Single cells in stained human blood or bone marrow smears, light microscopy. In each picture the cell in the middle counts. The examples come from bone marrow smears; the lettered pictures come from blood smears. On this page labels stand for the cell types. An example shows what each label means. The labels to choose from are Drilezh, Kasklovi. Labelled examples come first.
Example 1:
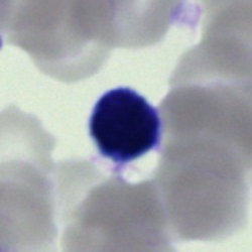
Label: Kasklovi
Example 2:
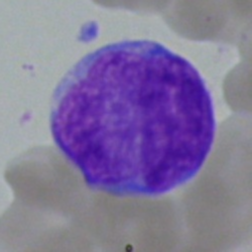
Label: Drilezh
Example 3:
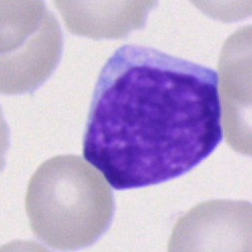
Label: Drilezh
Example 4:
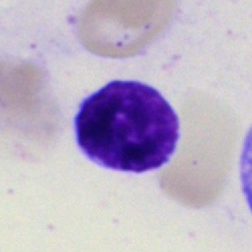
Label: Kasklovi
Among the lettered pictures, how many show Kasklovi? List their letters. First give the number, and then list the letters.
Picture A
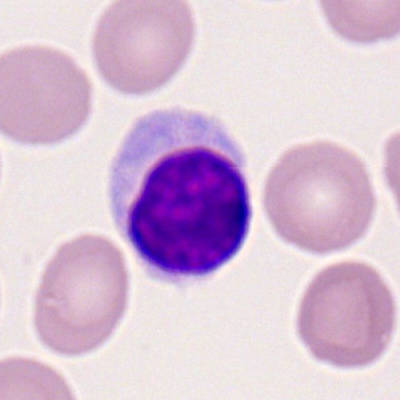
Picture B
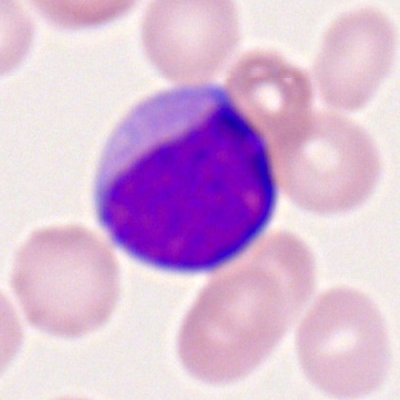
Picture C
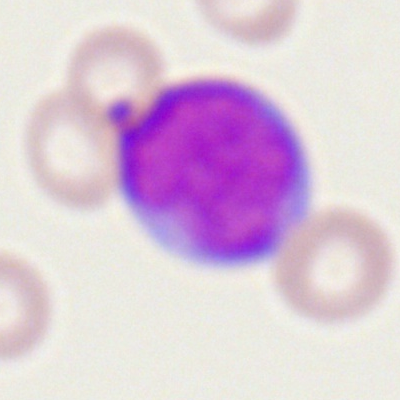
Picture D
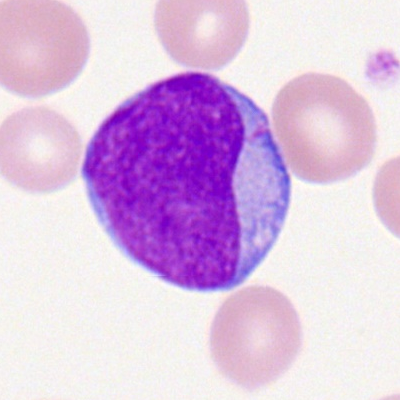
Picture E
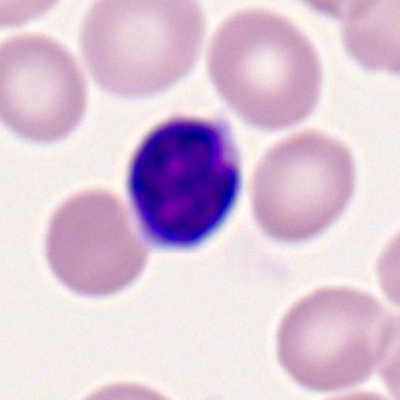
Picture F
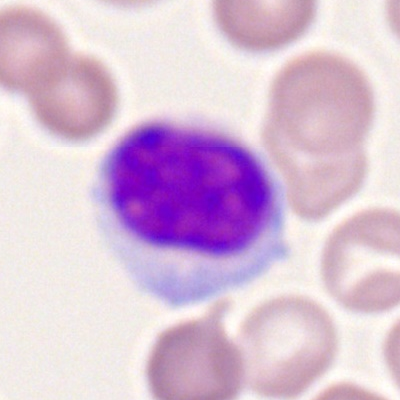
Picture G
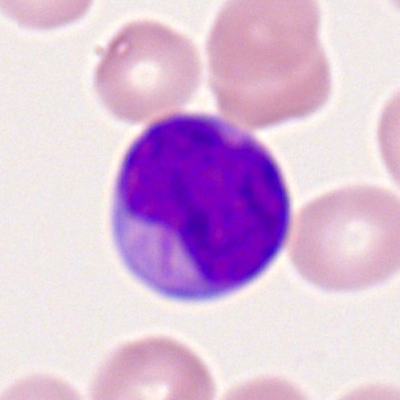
3, namely A, E, F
